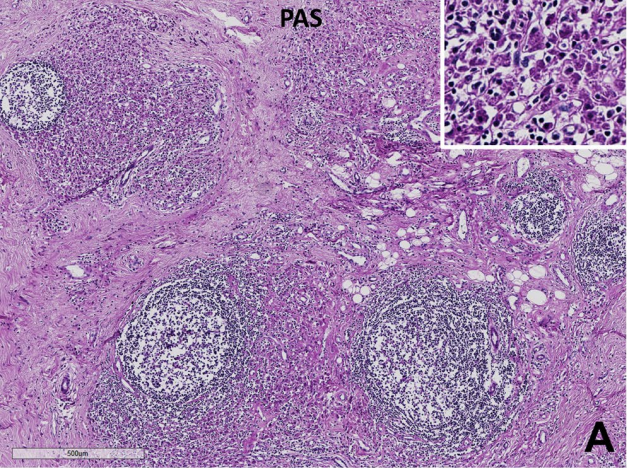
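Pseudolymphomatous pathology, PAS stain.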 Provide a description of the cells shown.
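Several rounded, densely cellular nodules of small dark lymphocytes, some with paler centres, sit within pink fibrous stroma with scattered fat spaces. Around the nodules lies a broad zone of larger cells with pale to pinkish-purple cytoplasm. At high power in the inset these perinodular cells are large, with abundant magenta, granular cytoplasm and small dark eccentric nuclei, mixed with small lymphocytes.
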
